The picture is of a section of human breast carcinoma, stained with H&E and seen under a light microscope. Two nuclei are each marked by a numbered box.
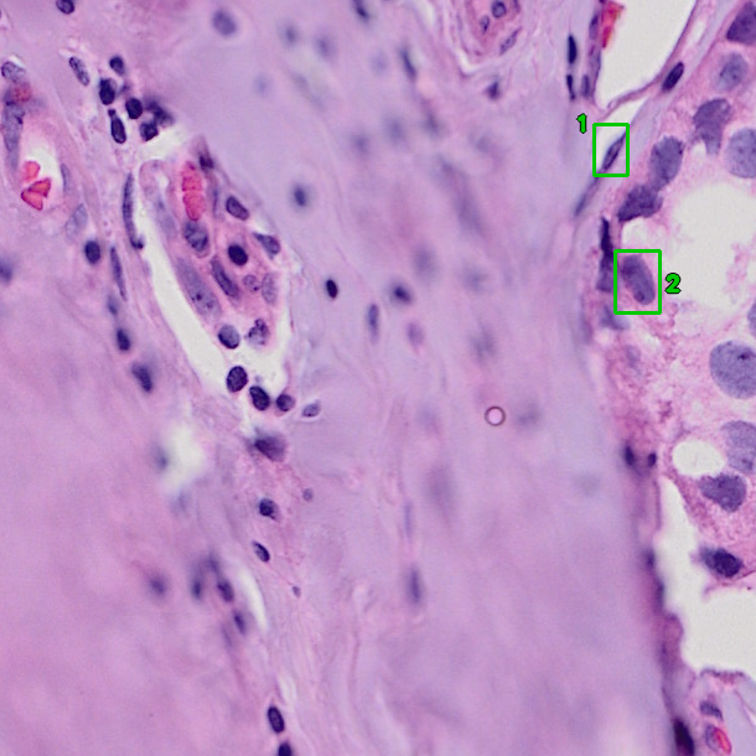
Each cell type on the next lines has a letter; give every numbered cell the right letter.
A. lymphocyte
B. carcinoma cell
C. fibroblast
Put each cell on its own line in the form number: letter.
1: C
2: B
